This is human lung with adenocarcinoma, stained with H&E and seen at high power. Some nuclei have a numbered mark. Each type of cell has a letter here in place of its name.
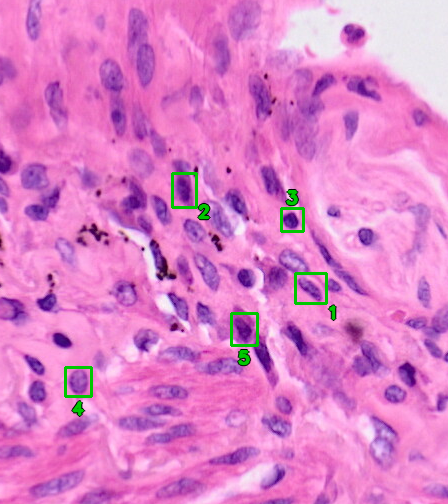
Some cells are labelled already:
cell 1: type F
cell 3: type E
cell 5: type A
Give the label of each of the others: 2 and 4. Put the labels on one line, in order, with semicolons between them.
type A; type F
